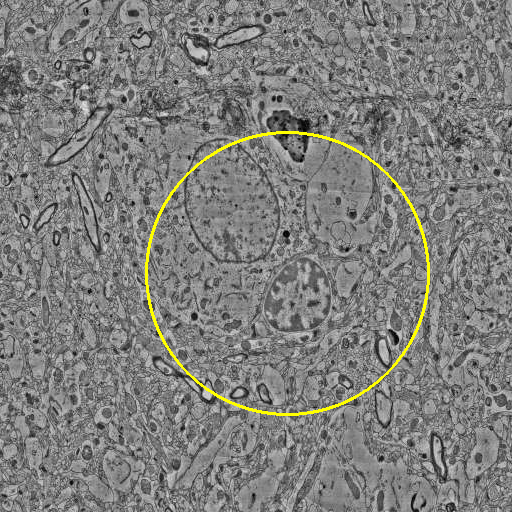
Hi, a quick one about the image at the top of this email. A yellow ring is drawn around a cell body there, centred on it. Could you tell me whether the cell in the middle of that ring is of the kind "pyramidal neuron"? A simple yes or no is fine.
no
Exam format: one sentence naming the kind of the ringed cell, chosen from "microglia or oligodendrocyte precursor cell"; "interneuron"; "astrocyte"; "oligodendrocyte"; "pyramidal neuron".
The cell in question here is a microglial cell or oligodendrocyte precursor cell.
